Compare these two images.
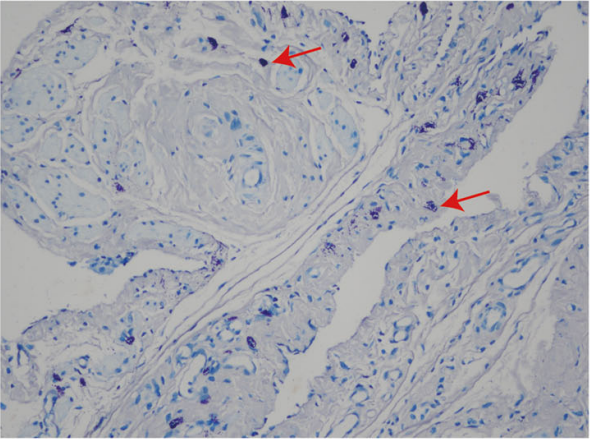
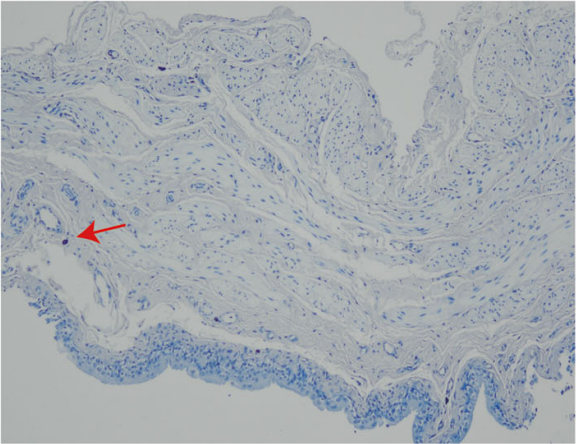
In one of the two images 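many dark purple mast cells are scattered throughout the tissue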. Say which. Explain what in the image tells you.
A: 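The first image. Second image: only one or two dark purple cells are found in the wall. First image: numerous dark purple cells lie throughout the connective tissue and along vessels.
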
